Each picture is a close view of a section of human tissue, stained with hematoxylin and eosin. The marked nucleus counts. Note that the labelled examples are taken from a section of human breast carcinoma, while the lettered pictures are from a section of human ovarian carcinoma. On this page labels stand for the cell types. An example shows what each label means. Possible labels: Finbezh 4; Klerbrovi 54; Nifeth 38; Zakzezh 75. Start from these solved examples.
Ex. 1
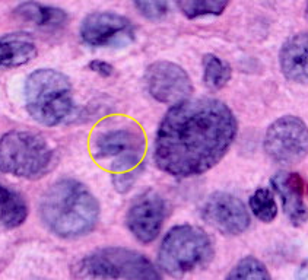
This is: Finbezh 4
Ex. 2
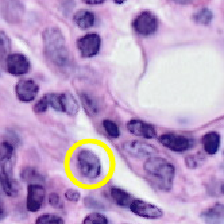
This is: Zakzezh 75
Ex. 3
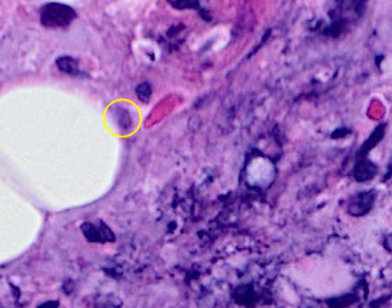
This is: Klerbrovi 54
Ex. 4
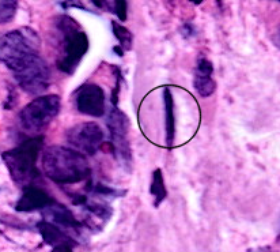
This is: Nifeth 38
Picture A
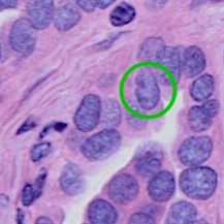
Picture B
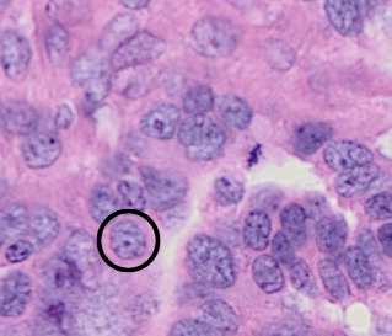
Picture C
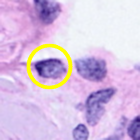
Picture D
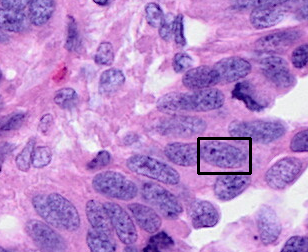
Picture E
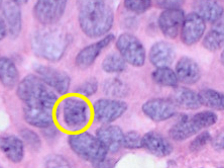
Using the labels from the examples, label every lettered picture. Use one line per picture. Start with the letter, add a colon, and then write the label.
A: Finbezh 4
B: Finbezh 4
C: Klerbrovi 54
D: Finbezh 4
E: Finbezh 4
